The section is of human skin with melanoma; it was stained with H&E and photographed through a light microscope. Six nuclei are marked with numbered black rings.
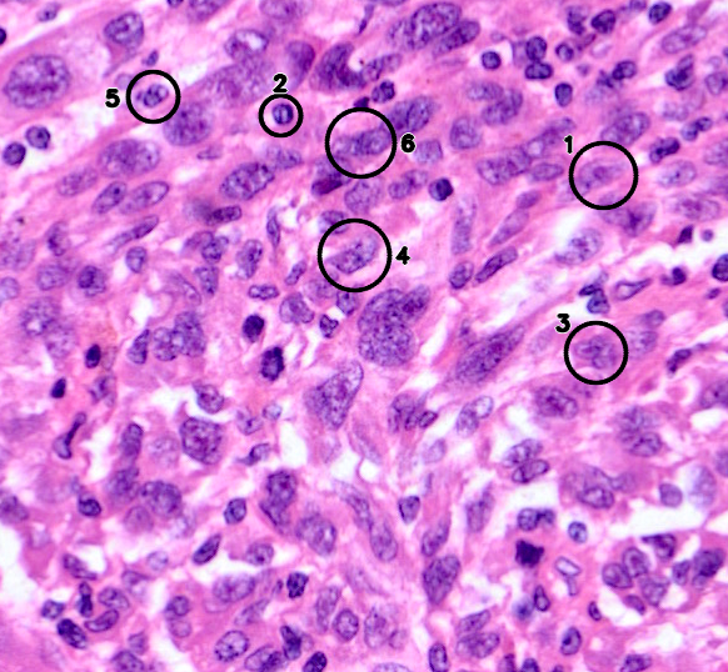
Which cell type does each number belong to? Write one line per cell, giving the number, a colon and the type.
1: melanoma cell
2: lymphocyte
3: melanoma cell
4: melanoma cell
5: lymphocyte
6: melanoma cell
